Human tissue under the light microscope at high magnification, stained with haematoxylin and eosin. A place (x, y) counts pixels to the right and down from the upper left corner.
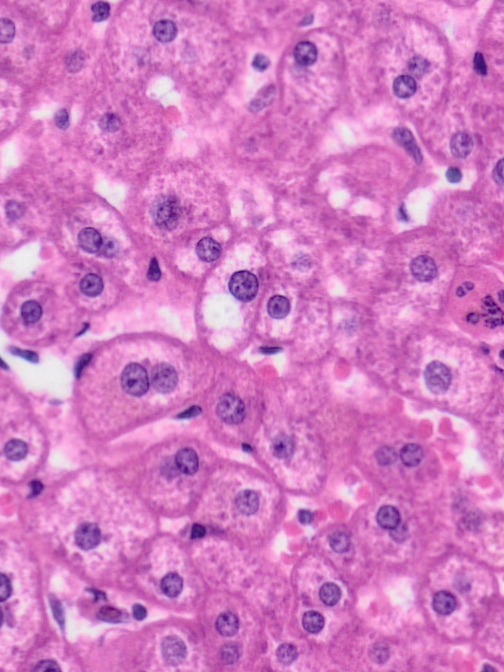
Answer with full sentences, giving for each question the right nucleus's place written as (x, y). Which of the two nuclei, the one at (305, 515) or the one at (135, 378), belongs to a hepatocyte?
Of the pair, the nucleus located at (135, 378) belongs to a hepatocyte.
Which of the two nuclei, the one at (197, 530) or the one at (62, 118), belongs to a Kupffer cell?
The nucleus at (62, 118) is contained in a Kupffer cell.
